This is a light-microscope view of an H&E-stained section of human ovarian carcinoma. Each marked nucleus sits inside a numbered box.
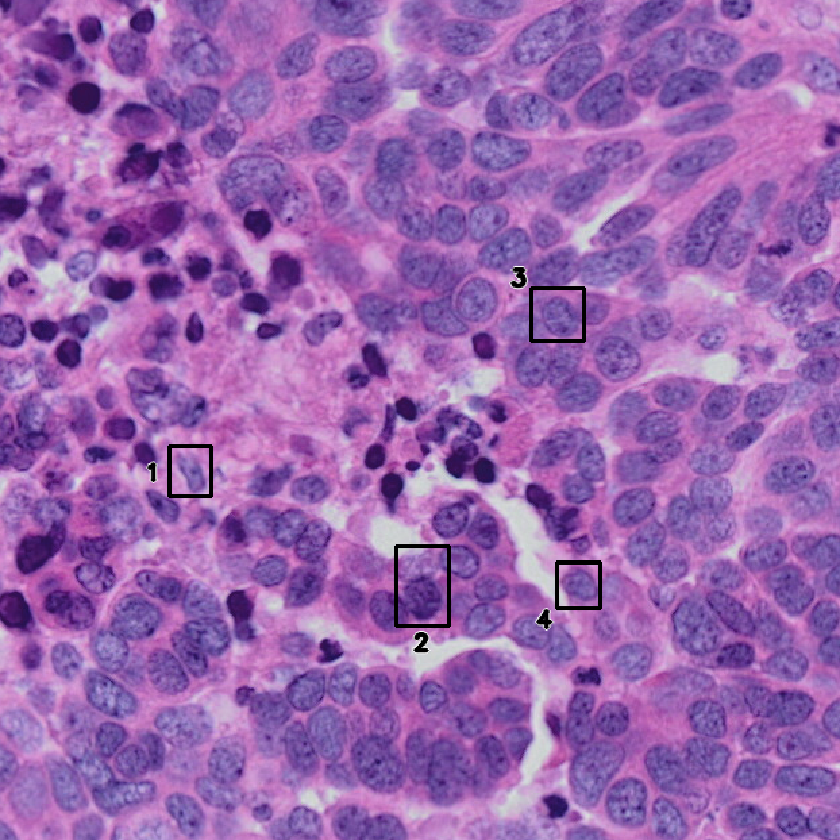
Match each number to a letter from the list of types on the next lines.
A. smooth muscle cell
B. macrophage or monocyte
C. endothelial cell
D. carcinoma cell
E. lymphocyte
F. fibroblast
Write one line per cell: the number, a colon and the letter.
1: B
2: D
3: D
4: D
